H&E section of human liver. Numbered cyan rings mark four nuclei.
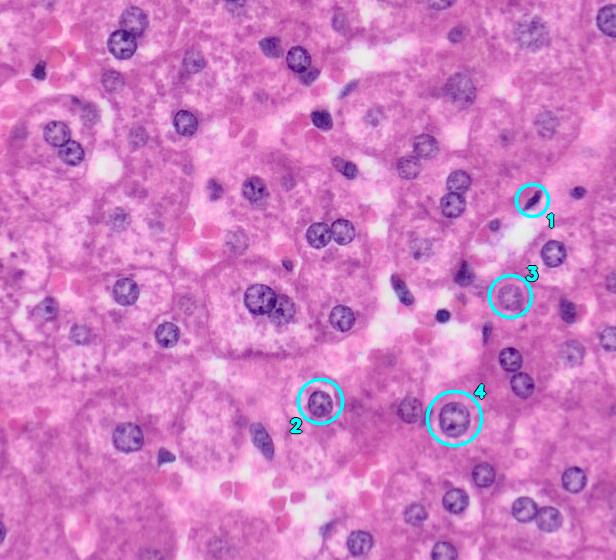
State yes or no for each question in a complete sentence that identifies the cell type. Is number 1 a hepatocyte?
No, what is marked as number 1 is an endothelial cell rather than a hepatocyte.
